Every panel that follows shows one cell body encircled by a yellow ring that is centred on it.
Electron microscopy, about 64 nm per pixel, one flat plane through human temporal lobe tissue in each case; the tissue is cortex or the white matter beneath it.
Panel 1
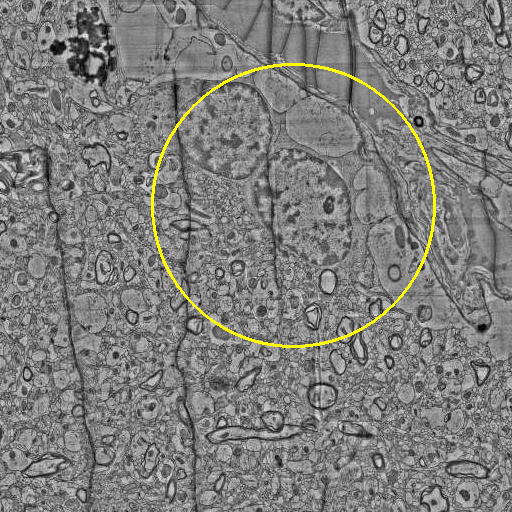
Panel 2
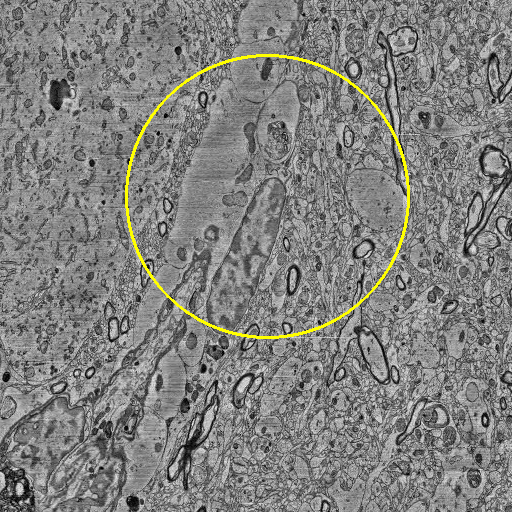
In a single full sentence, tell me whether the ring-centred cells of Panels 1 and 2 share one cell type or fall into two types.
In Panel 1 and Panel 2, the cells at the ring centres fall into two types.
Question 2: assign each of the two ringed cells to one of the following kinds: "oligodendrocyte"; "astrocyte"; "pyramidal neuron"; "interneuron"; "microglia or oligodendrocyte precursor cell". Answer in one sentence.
The two cells are an oligodendrocyte in the first picture and a microglial cell or oligodendrocyte precursor cell in the second.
